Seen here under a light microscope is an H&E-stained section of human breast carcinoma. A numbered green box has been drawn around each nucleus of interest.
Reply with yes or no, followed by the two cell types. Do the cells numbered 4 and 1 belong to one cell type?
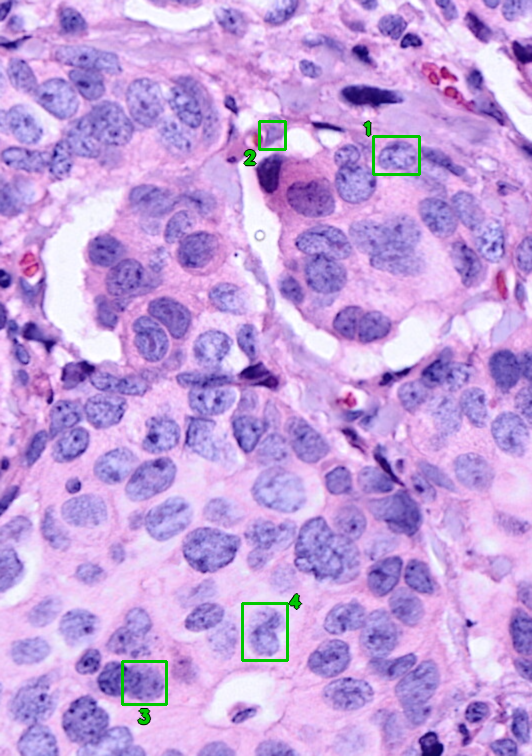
Yes, cells 4 and 1 are both to be classed as carcinoma cells.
